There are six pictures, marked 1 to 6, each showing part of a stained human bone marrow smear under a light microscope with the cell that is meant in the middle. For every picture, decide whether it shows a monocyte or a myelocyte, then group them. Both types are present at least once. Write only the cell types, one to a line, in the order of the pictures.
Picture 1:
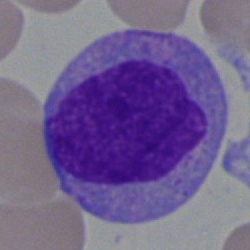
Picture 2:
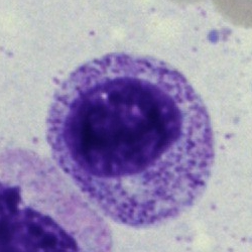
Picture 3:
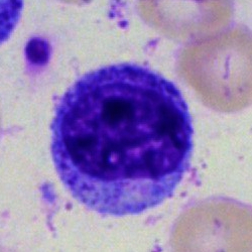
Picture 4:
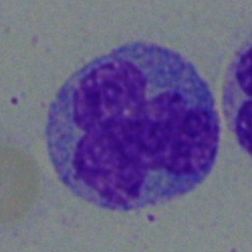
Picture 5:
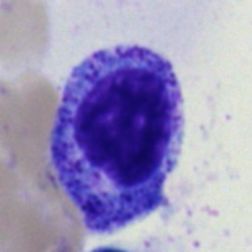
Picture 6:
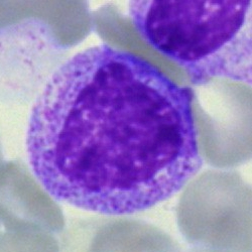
monocyte
myelocyte
myelocyte
monocyte
myelocyte
myelocyte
